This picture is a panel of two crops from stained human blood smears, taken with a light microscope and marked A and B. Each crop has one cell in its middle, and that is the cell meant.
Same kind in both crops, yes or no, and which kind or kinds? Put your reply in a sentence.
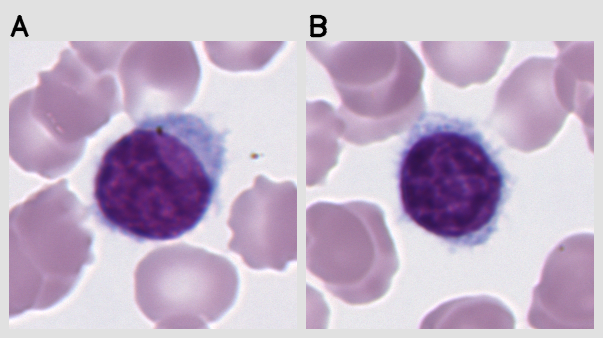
Yes, both crops in the pair show hairy cells.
